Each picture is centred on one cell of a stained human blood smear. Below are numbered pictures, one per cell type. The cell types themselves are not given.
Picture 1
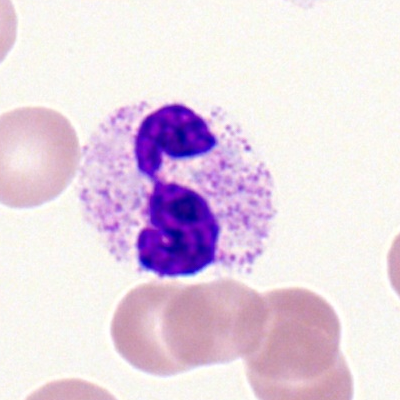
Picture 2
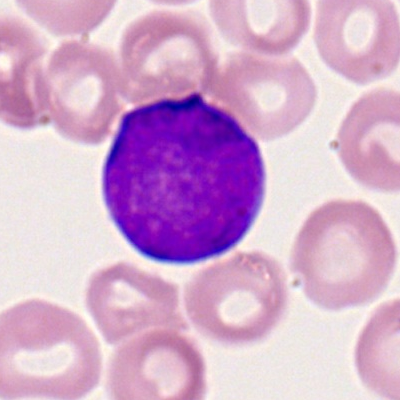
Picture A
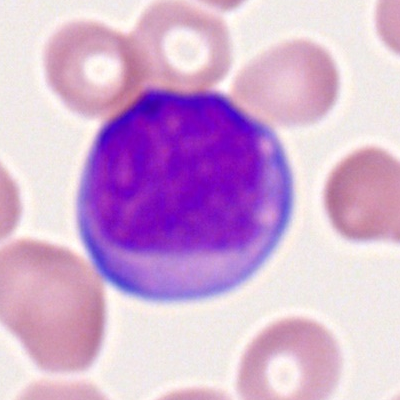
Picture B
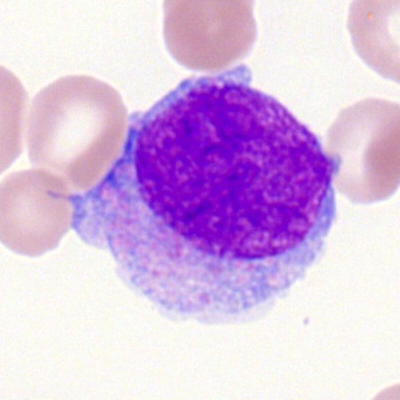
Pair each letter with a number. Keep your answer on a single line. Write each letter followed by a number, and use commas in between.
A 2, B 2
